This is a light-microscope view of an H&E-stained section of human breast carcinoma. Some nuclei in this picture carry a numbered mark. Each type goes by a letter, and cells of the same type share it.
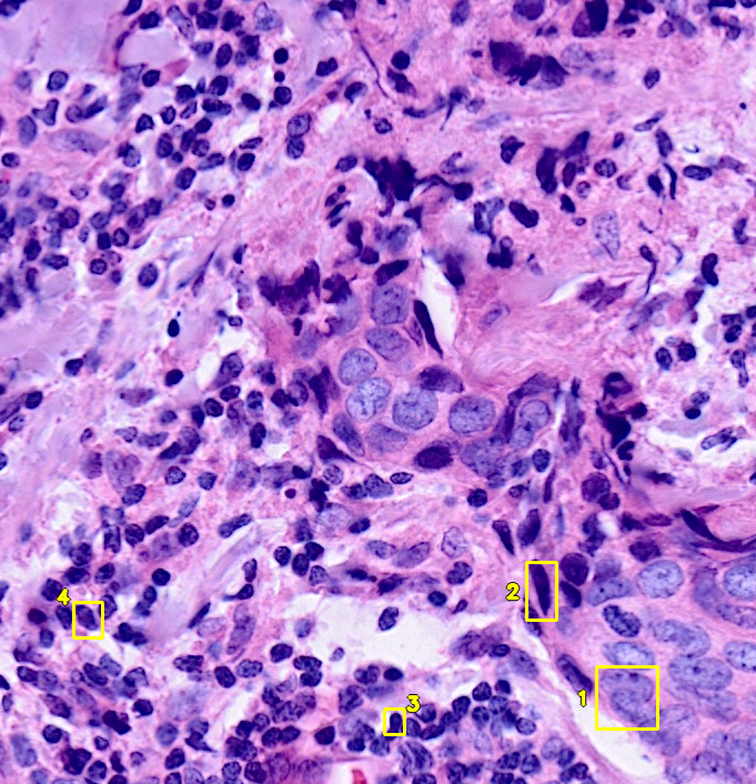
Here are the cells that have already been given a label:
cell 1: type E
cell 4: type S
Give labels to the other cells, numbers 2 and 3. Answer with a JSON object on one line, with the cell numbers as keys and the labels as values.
{"2": "type E", "3": "type S"}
